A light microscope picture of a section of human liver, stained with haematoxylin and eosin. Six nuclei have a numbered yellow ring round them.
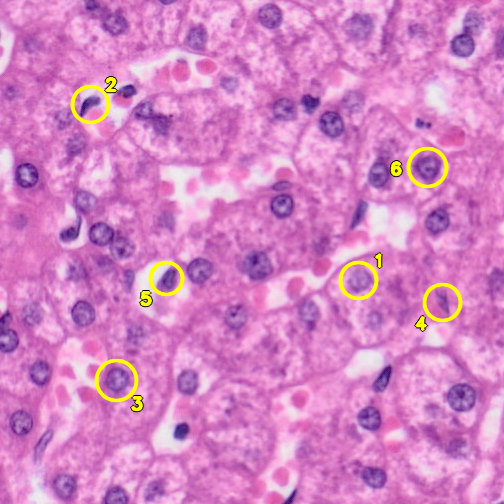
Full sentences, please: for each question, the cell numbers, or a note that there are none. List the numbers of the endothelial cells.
The cells marked by the numbers 2 and 4 are endothelial cells.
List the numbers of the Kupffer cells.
Cell 5 is the only one of the numbered cells that is a Kupffer cell.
